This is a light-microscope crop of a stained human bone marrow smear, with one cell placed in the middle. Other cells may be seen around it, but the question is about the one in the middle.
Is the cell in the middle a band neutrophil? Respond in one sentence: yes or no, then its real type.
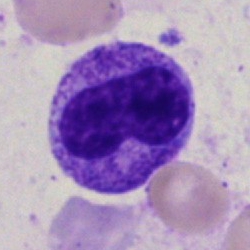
Yes, the cell found in the center of the crop is a band neutrophil.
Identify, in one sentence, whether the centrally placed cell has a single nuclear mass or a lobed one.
Have a look at the nucleus, which is one compact mass, round, oval or kidney-shaped.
